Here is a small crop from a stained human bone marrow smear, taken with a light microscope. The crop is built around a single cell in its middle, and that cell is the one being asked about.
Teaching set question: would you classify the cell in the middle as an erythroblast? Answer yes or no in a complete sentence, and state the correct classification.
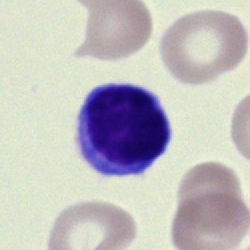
No, the central cell in this crop is a lymphocyte and not an erythroblast.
